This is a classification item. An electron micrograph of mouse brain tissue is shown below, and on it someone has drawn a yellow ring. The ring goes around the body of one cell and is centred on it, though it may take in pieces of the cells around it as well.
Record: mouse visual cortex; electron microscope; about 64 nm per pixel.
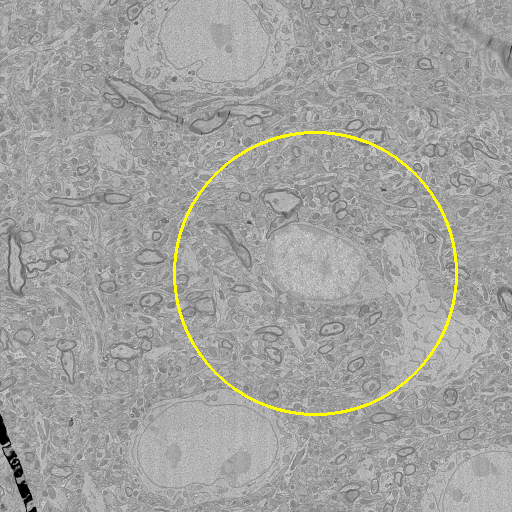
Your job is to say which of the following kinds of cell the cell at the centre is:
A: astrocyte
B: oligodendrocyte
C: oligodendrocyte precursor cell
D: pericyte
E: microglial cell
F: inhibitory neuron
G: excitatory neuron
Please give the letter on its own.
B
